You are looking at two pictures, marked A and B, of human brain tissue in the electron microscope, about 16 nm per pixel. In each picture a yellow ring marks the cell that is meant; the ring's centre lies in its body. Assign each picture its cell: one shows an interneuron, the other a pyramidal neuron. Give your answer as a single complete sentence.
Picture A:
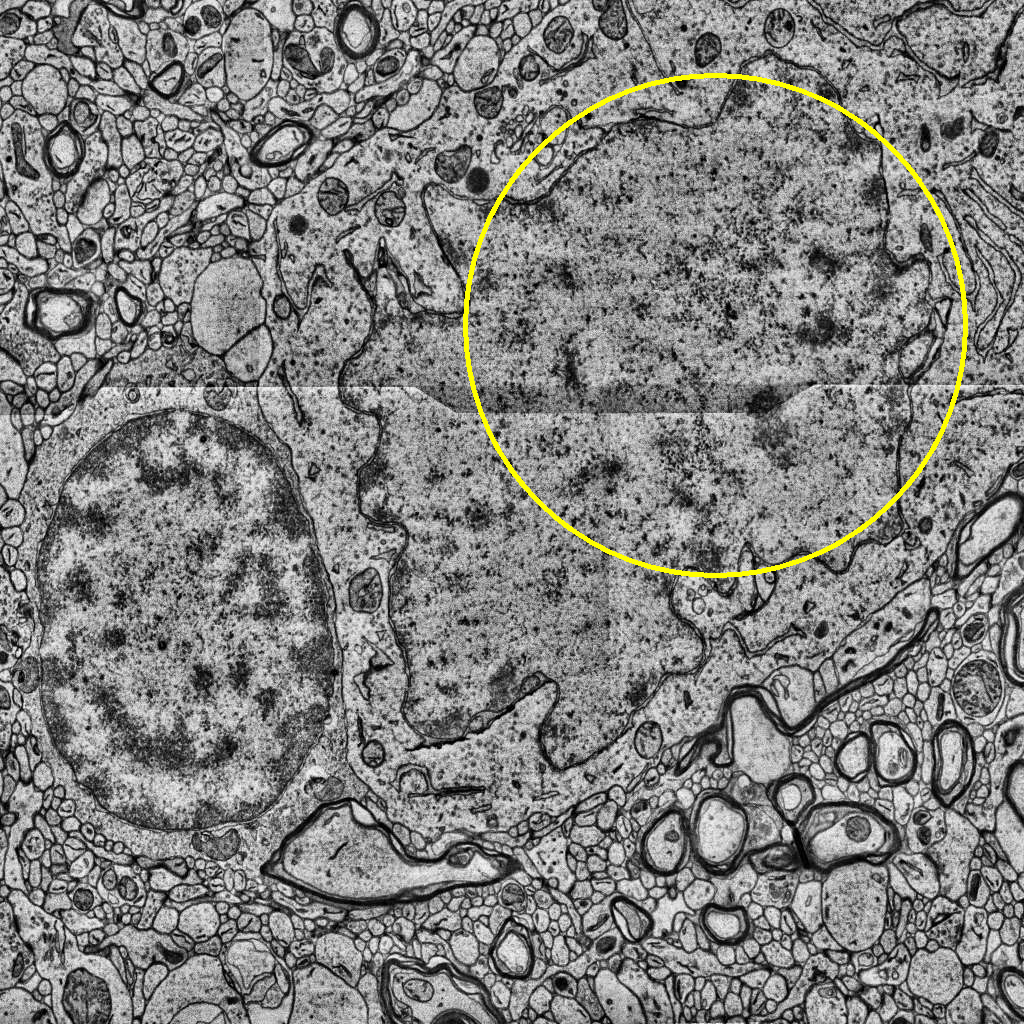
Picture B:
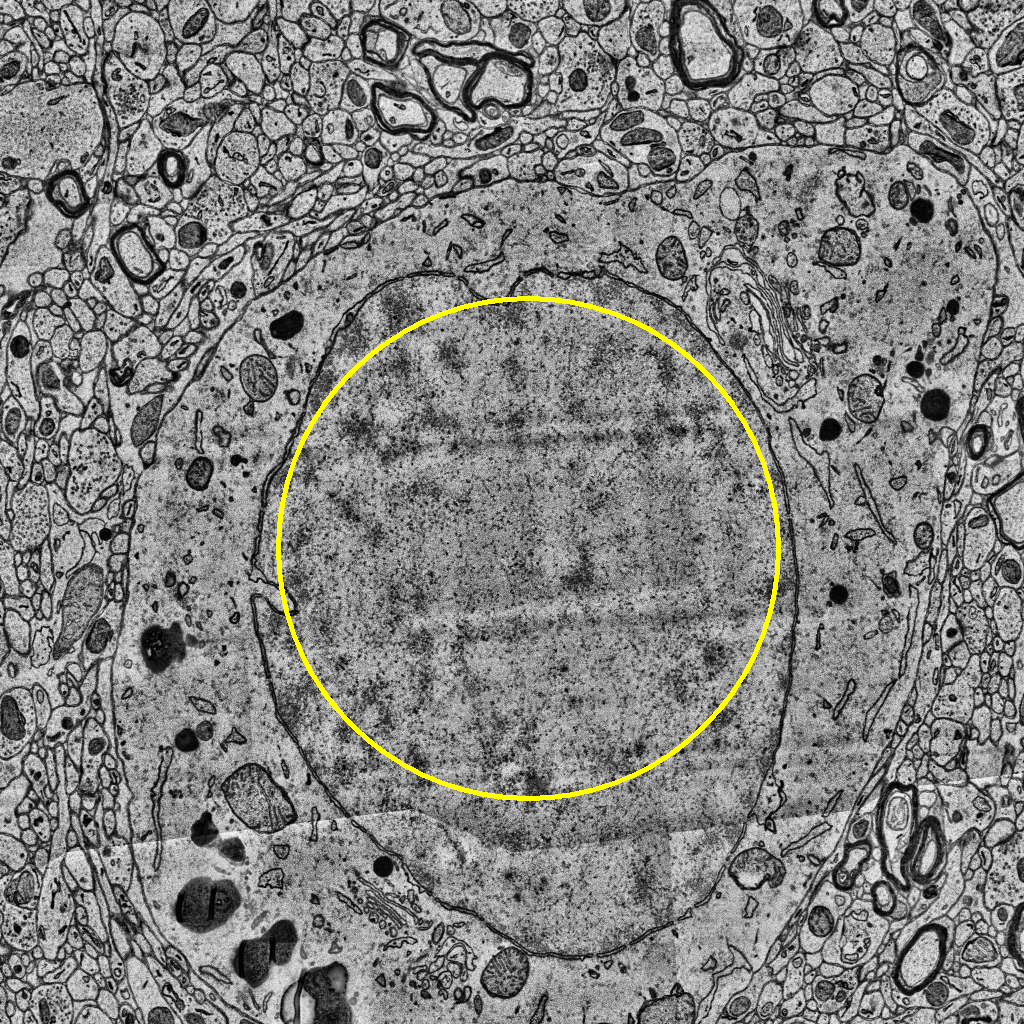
It is picture A that shows an interneuron, and picture B that shows a pyramidal neuron.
